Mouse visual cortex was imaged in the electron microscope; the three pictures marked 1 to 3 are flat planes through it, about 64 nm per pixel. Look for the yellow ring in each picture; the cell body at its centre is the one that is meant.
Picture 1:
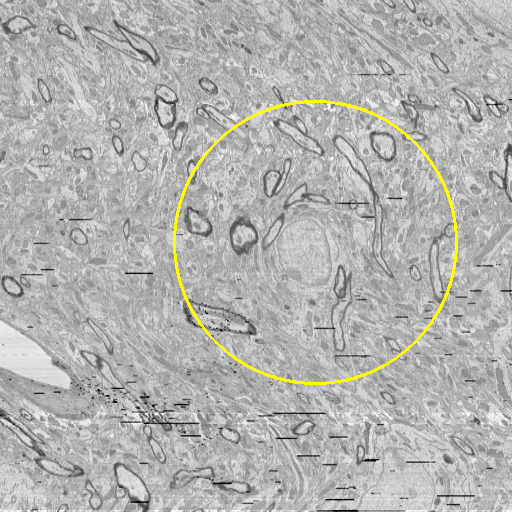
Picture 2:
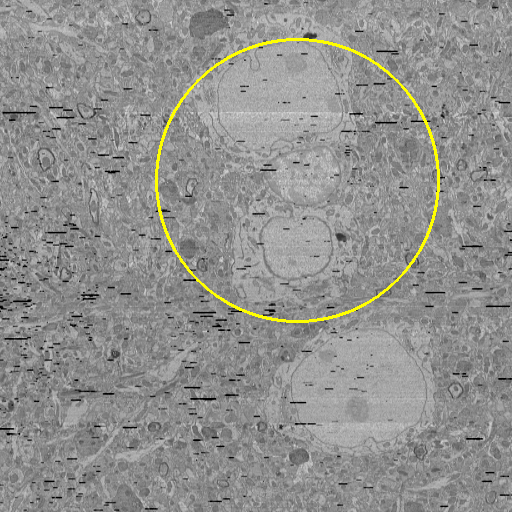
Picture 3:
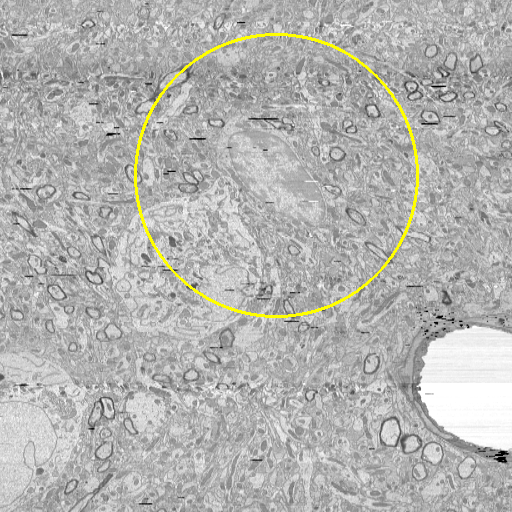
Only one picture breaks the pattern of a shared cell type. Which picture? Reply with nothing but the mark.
1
